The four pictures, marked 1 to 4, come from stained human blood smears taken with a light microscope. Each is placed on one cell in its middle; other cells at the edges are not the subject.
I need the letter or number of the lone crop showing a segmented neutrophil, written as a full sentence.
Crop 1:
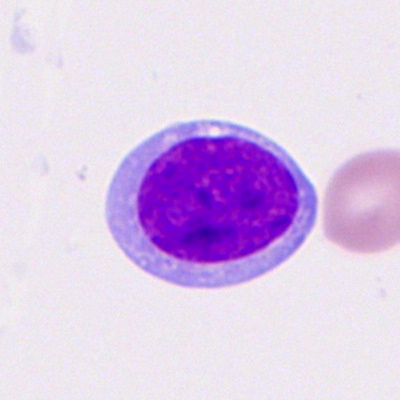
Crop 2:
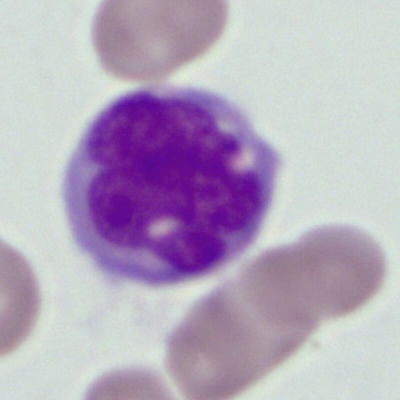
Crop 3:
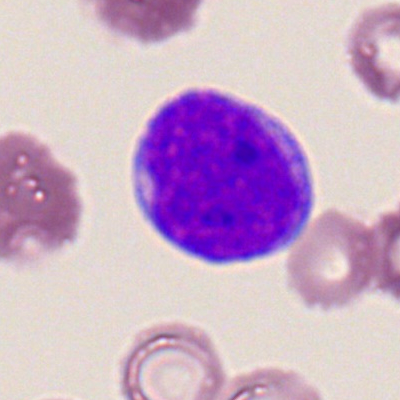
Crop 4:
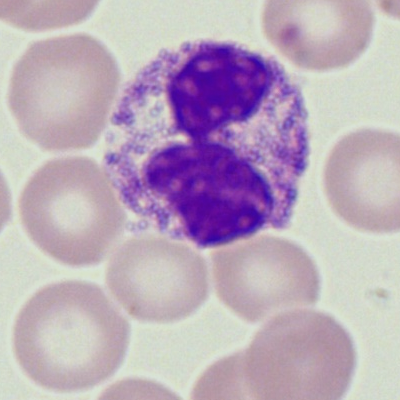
Within this set, crop 4 is the one with a segmented neutrophil at its center.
